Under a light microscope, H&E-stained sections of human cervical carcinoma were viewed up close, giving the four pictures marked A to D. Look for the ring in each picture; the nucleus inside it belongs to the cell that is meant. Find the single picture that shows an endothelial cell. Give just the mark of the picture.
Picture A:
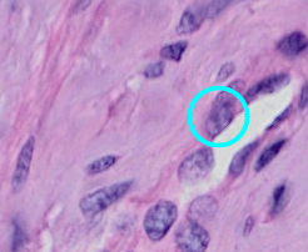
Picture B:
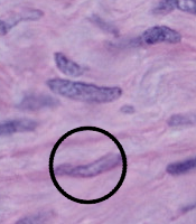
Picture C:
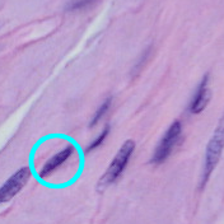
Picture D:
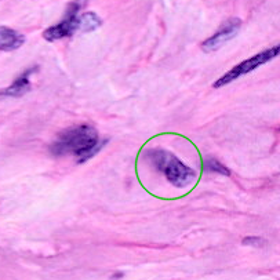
A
